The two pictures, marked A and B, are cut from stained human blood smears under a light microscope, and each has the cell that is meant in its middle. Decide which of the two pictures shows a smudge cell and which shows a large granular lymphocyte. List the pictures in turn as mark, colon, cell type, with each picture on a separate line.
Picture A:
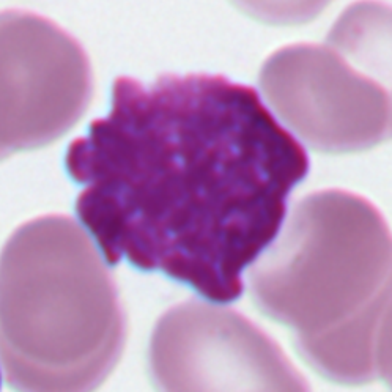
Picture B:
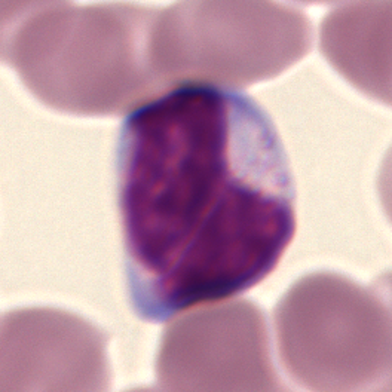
A: smudge cell
B: large granular lymphocyte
